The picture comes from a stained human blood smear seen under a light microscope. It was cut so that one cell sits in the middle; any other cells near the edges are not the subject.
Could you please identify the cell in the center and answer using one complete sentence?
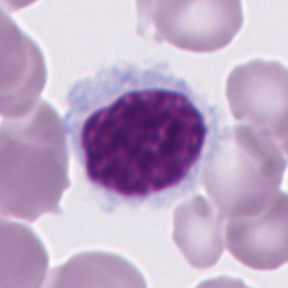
Centrally within this crop lies a hairy cell.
